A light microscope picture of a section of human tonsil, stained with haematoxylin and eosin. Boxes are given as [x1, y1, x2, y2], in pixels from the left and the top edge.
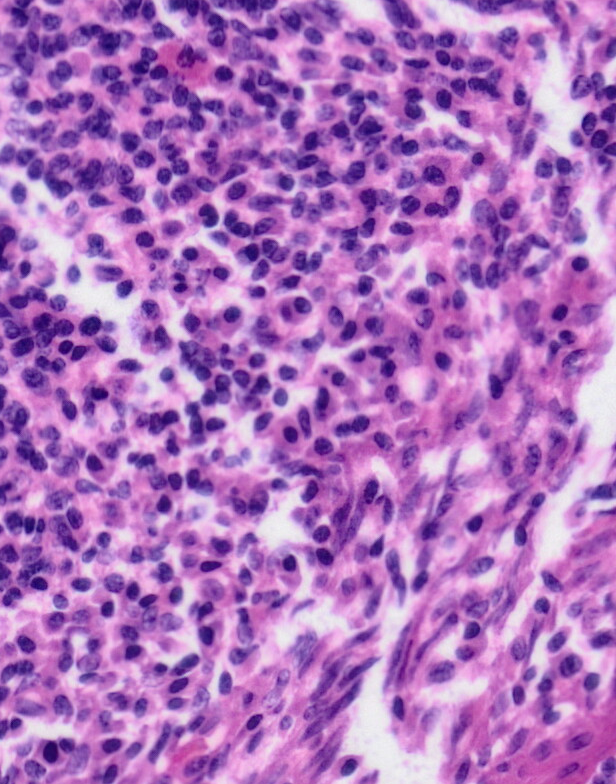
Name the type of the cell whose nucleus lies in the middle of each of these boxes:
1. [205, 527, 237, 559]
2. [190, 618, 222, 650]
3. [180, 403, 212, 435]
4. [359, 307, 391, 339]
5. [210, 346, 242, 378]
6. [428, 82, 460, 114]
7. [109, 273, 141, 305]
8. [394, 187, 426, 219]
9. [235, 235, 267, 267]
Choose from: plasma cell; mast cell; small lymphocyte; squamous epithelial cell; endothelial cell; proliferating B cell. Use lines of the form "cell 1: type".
cell 1: plasma cell
cell 2: plasma cell
cell 3: small lymphocyte
cell 4: plasma cell
cell 5: small lymphocyte
cell 6: plasma cell
cell 7: small lymphocyte
cell 8: plasma cell
cell 9: small lymphocyte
